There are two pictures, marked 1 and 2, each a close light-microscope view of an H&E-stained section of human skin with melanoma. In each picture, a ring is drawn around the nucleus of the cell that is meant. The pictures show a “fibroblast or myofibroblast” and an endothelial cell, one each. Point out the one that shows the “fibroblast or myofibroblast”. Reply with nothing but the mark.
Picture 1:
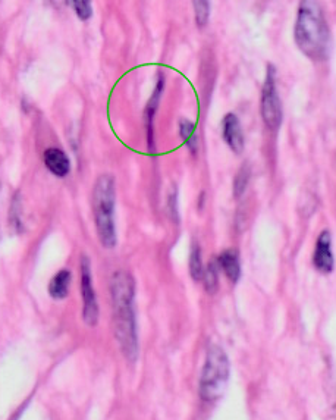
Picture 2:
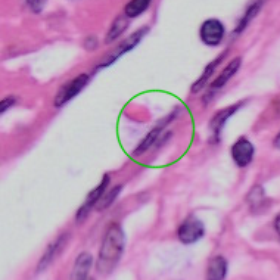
1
